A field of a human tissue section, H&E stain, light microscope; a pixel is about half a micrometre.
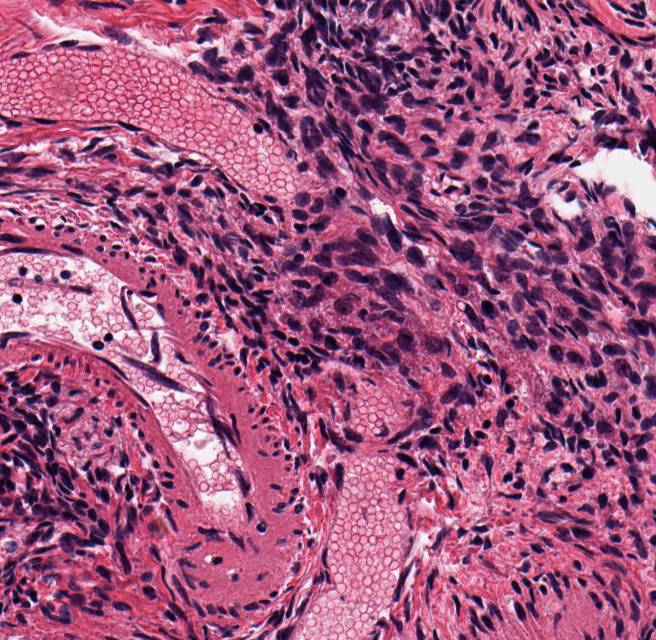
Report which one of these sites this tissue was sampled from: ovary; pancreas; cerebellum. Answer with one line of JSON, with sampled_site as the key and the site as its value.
{"sampled_site": "ovary"}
